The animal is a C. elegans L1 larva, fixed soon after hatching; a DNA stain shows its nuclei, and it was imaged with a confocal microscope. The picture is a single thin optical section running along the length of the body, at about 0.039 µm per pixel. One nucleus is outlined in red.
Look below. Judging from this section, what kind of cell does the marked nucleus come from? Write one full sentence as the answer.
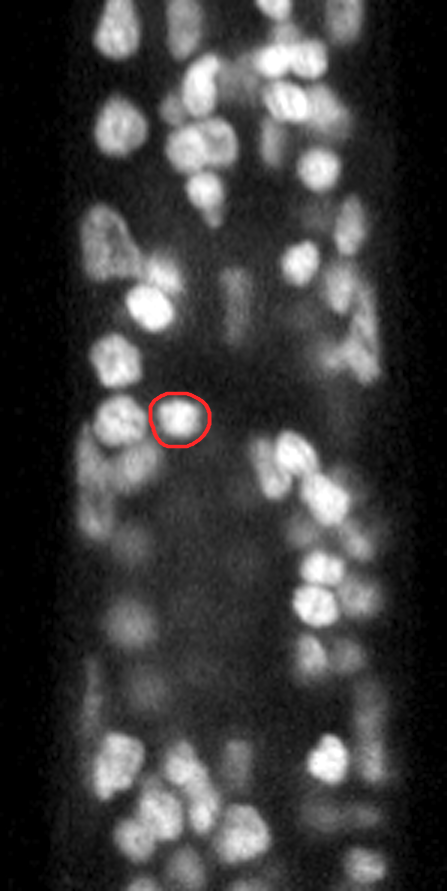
This nucleus is from a GLR cell.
